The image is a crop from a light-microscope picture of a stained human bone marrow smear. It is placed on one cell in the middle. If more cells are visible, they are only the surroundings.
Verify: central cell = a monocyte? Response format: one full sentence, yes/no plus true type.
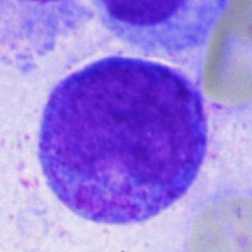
No, the cell in the middle is recognised as a promyelocyte rather than a monocyte.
